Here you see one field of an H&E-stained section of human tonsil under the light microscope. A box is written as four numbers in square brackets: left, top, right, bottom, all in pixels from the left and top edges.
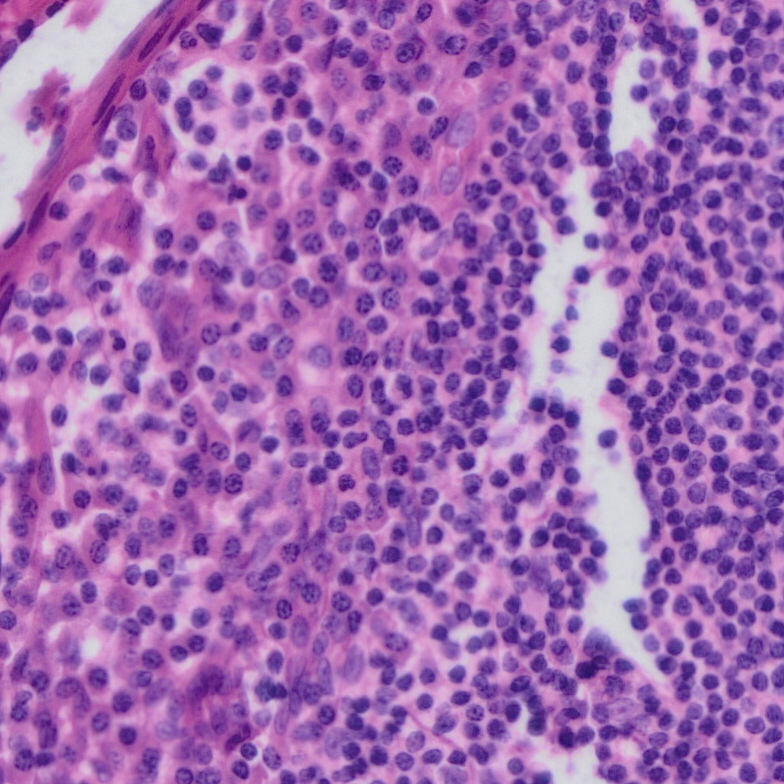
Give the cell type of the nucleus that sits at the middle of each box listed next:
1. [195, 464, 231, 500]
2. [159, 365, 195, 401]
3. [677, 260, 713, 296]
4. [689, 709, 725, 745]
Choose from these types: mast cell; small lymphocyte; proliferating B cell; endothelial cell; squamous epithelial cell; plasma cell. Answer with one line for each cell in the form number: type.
1: plasma cell
2: plasma cell
3: small lymphocyte
4: small lymphocyte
